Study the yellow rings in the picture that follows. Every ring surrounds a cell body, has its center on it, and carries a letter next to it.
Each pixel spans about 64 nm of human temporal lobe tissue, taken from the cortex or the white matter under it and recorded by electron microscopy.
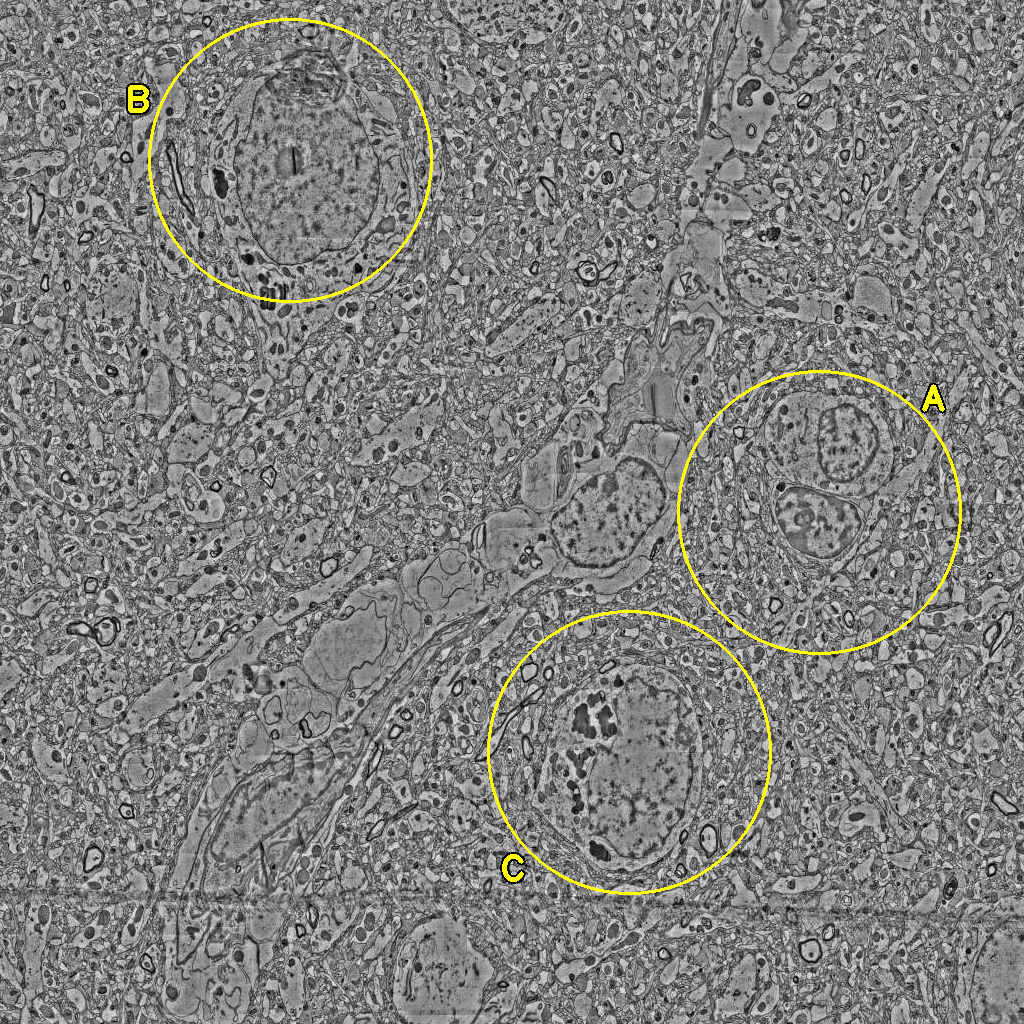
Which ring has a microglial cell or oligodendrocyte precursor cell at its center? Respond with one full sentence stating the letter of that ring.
The ring centered on the cell asked for carries the letter A.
